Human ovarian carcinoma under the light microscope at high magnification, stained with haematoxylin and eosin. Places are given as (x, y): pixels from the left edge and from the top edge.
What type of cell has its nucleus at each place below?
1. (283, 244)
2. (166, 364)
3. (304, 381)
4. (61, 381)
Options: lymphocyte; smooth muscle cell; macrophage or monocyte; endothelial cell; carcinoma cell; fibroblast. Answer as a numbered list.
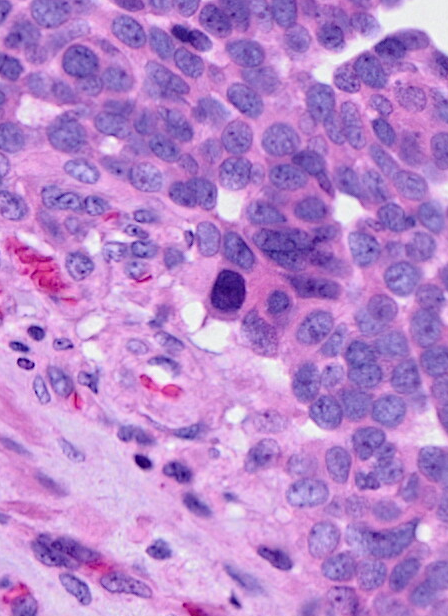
1. carcinoma cell
2. endothelial cell
3. carcinoma cell
4. endothelial cell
